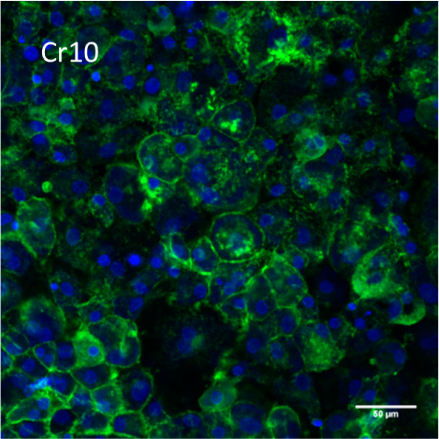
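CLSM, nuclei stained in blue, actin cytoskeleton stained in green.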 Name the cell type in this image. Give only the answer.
Osteoclasts.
